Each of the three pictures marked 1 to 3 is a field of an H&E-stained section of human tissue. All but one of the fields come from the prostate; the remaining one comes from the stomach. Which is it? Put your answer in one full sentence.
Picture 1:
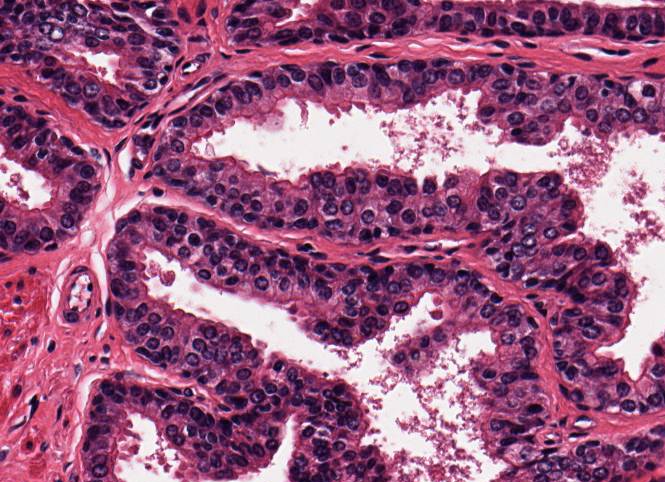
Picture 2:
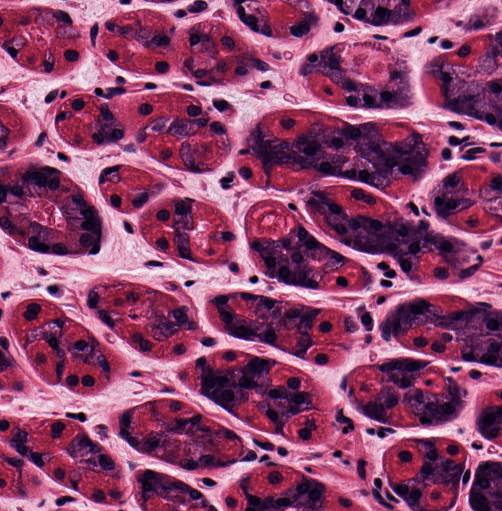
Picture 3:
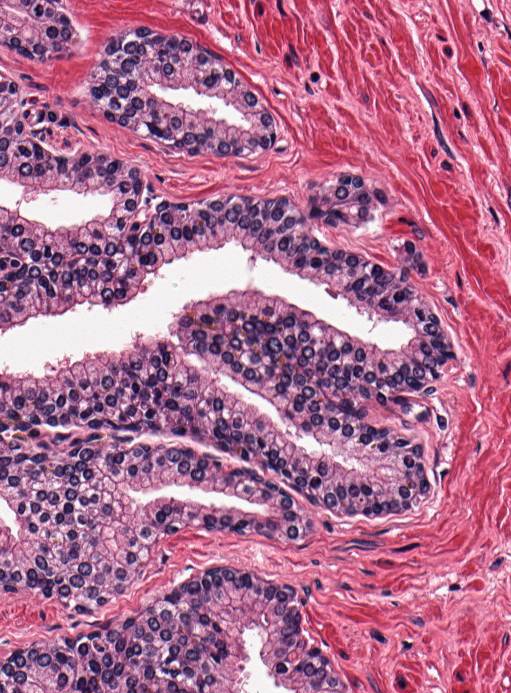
Picture 2 is the field that comes from the stomach.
